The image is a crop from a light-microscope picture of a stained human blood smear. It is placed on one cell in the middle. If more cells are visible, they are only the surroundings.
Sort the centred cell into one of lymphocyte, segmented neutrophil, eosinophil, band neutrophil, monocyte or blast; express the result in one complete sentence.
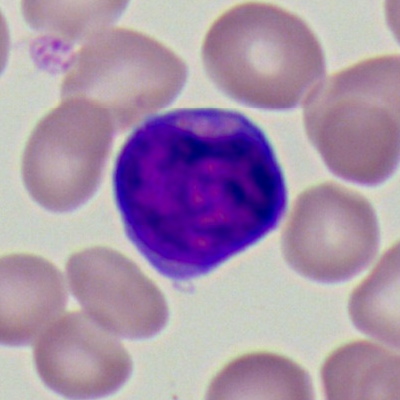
This particular crop is centered on a blast.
